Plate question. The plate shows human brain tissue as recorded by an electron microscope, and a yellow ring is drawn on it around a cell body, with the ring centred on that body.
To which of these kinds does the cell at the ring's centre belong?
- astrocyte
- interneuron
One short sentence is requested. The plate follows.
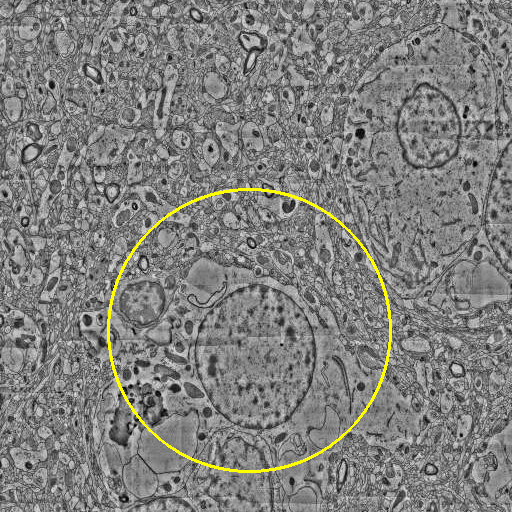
The cell at the ring's centre is an astrocyte.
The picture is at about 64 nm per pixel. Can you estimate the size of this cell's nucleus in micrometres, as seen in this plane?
In this plane, the nucleus of the cell at the centre of the ring measures about 9 by 8 micrometres.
